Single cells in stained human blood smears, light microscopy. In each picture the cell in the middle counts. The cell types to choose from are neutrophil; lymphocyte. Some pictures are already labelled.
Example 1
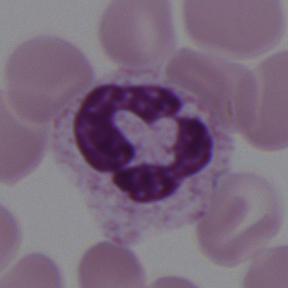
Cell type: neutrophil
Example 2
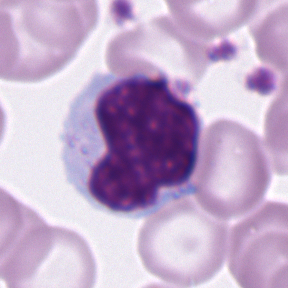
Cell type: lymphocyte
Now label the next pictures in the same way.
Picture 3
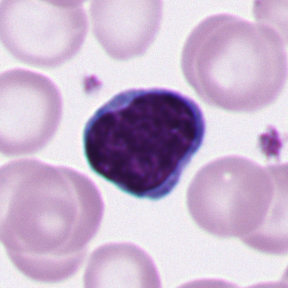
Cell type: lymphocyte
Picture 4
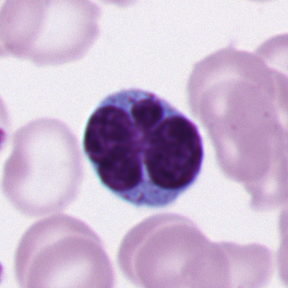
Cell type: lymphocyte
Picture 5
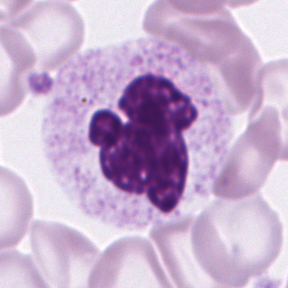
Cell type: neutrophil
